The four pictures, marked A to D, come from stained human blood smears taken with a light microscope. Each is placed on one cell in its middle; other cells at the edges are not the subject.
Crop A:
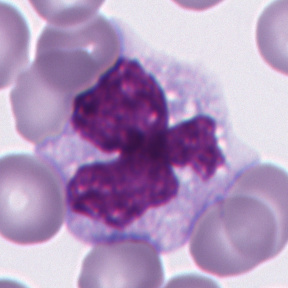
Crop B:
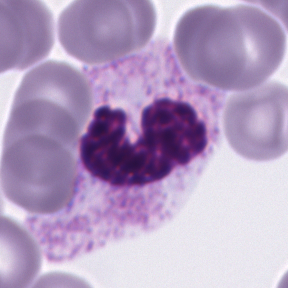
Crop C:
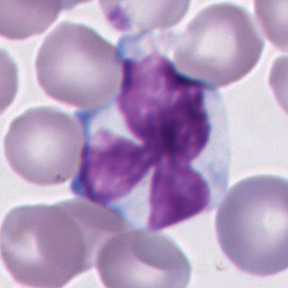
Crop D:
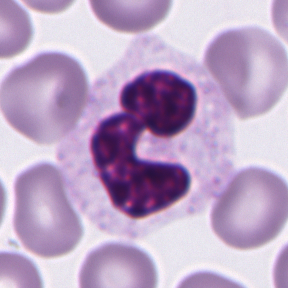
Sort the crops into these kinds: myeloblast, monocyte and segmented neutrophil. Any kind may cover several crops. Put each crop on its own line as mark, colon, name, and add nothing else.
A: monocyte
B: segmented neutrophil
C: myeloblast
D: segmented neutrophil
